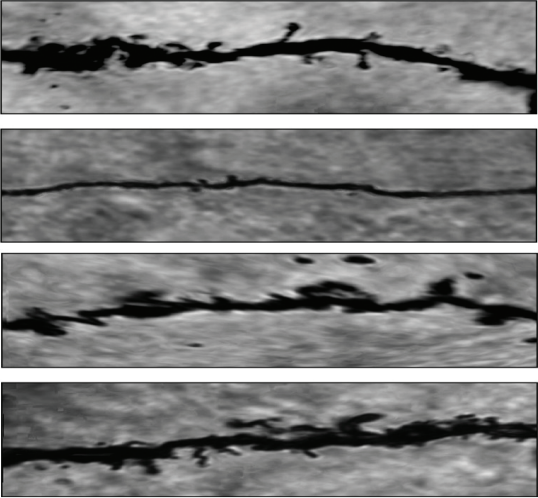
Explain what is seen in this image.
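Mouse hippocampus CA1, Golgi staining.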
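In three strips the dendrite is thick and irregular, with many short black protrusions, some knob-shaped, projecting from its sides. In one strip the dendrite is thin and smooth, with only a few tiny protrusions along its length.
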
